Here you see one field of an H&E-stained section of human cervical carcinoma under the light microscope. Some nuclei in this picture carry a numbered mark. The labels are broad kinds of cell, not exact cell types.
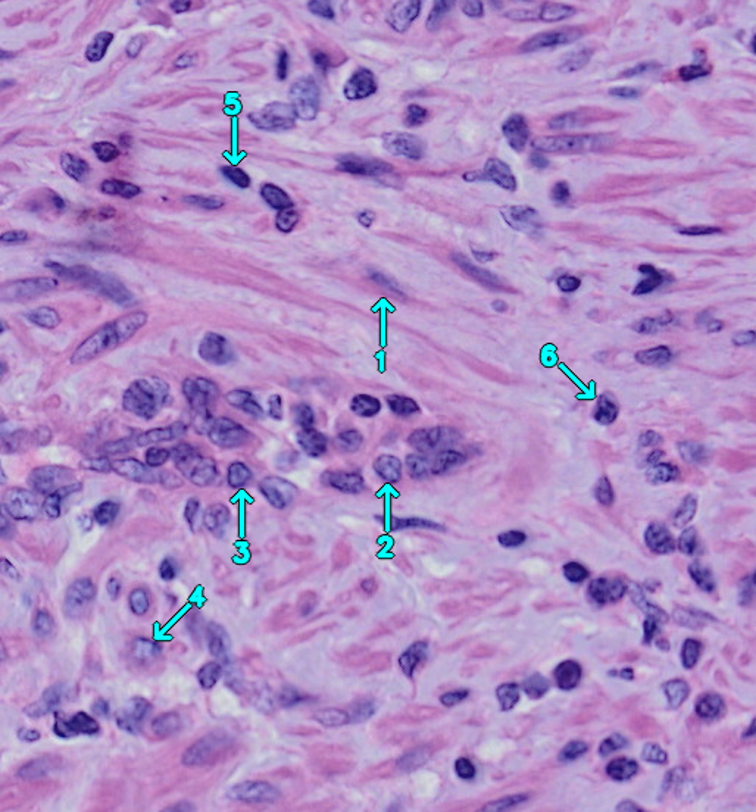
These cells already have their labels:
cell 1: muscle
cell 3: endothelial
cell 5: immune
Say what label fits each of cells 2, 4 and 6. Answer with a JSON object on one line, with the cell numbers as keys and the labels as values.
{"2": "endothelial", "4": "muscle", "6": "immune"}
